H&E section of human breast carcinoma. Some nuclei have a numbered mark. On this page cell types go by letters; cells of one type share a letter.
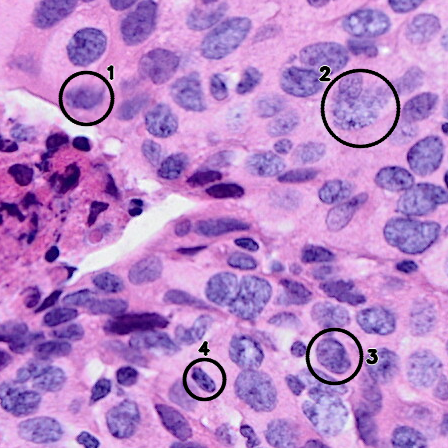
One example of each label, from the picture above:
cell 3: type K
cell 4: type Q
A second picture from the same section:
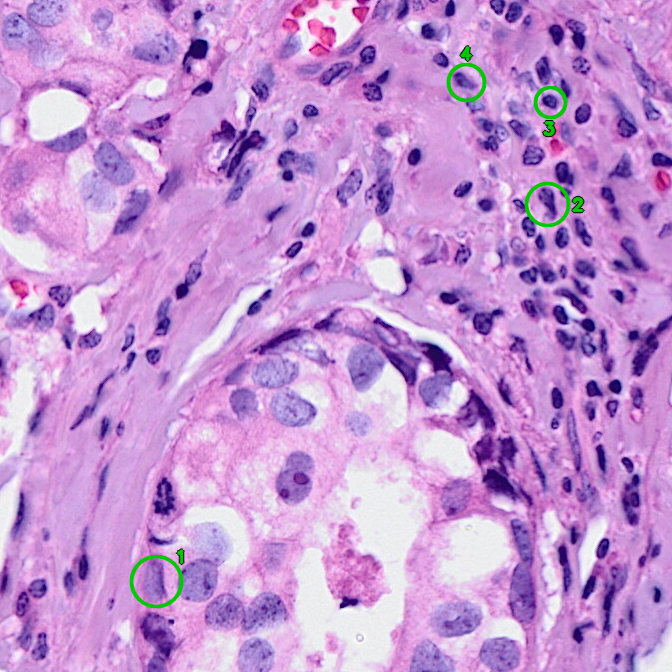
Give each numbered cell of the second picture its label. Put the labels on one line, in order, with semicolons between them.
type K; type Q; type Q; type Q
